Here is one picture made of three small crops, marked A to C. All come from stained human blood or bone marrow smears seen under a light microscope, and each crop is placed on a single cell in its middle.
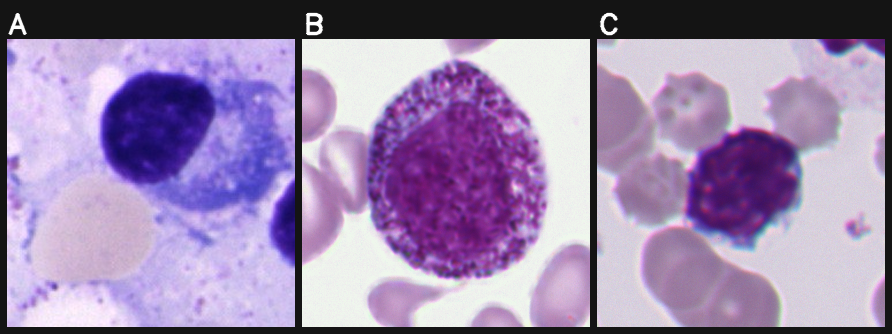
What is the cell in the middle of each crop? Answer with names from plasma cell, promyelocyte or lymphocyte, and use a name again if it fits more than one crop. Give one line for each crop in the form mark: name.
A: plasma cell
B: promyelocyte
C: lymphocyte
